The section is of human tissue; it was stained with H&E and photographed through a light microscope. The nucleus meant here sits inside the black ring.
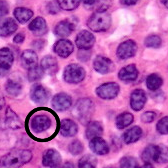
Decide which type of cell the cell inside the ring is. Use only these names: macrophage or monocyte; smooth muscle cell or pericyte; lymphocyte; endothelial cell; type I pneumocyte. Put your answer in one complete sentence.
This is a lymphocyte.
